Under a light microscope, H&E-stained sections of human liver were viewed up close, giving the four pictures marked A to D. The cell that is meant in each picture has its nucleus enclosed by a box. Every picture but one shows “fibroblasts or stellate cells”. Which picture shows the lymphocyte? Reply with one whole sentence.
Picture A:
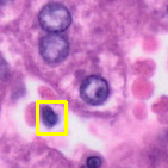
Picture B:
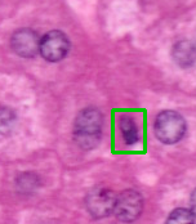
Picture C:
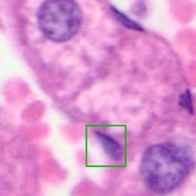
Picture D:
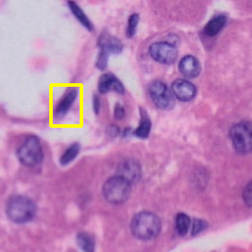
Picture A is the one that shows the lymphocyte.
